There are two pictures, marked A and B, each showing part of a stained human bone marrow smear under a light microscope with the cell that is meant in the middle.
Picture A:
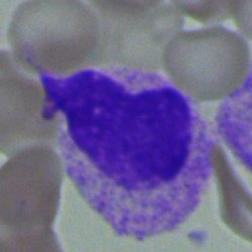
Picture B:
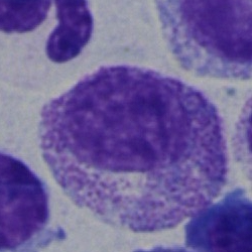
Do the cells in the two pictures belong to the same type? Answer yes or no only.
yes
